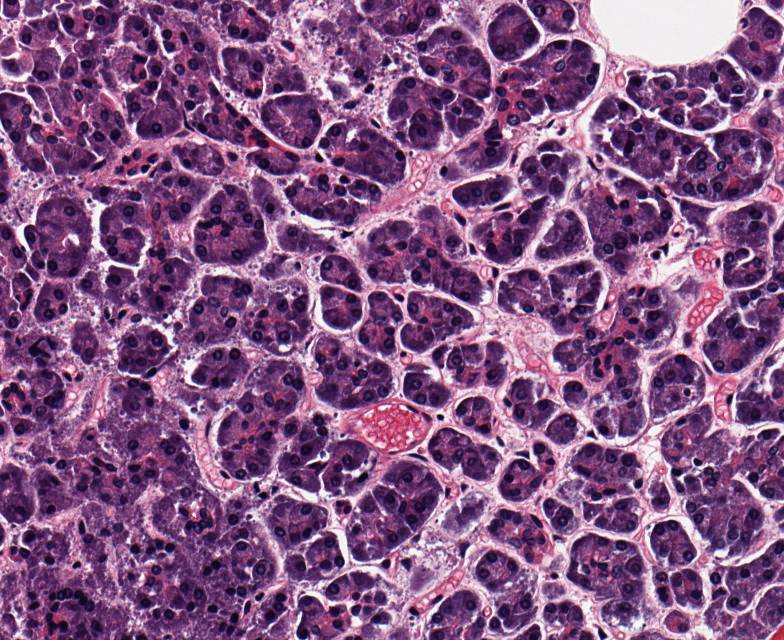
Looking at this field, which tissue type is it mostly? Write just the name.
exocrine pancreas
